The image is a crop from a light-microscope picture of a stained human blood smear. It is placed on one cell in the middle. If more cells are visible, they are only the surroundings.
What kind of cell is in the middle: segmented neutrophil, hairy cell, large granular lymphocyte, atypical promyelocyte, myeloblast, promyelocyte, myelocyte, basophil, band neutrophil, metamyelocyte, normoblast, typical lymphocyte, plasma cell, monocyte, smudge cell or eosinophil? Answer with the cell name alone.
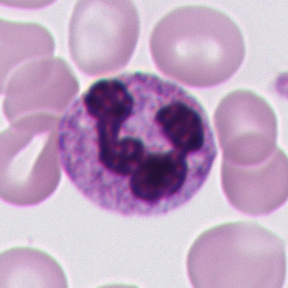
segmented neutrophil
